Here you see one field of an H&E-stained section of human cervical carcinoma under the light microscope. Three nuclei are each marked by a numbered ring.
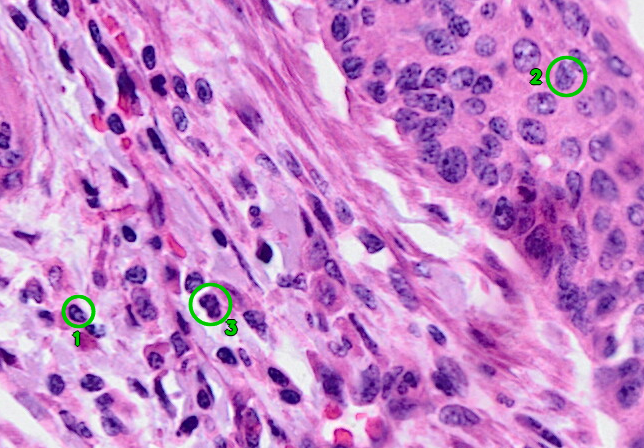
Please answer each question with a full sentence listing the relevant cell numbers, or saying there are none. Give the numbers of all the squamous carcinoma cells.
Only one choice fits: cell 2 is a squamous carcinoma cell, and no other.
